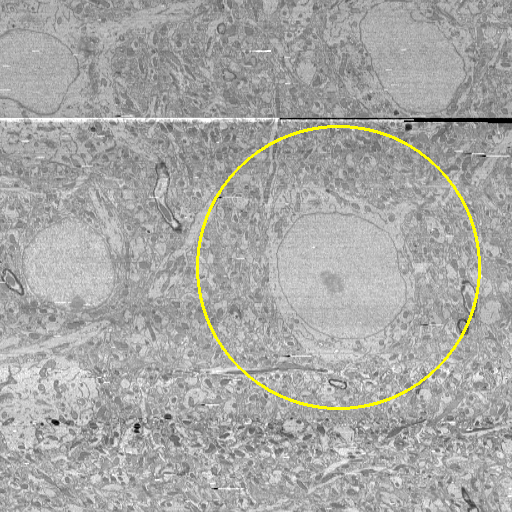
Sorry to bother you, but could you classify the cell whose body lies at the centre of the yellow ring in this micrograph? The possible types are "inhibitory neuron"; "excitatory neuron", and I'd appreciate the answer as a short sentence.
The ringed cell body is that of an excitatory neuron.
